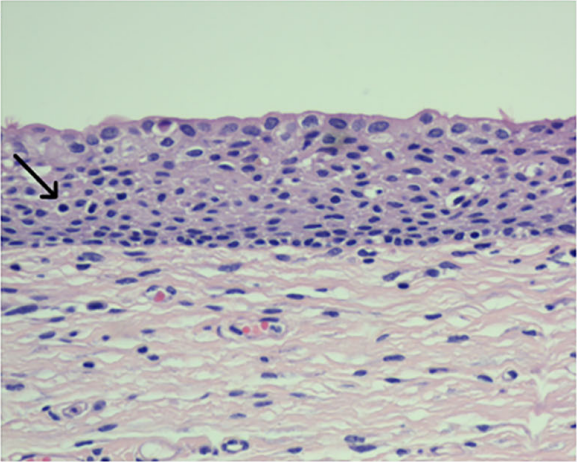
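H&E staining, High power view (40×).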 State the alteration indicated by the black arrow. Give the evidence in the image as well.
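The arrow points to small, round, dark nuclei among the epithelial cells. These nuclei are smaller and rounder than the neighbouring epithelial nuclei.
Scattered lymphocytic infiltration.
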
